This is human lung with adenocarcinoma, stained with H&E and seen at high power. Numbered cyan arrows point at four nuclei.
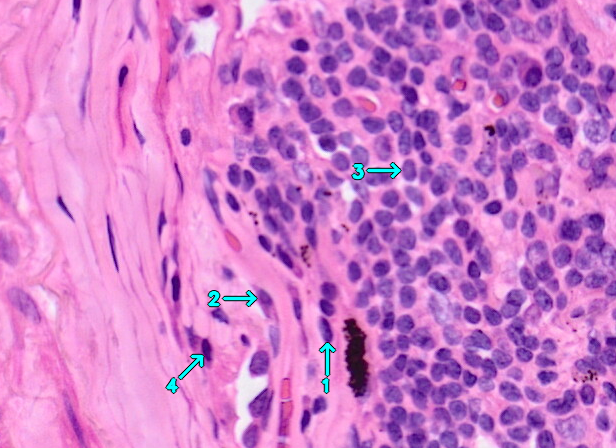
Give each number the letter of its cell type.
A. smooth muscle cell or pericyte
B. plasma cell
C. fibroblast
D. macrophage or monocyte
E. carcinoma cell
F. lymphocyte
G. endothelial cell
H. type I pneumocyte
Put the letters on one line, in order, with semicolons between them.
B; B; F; B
